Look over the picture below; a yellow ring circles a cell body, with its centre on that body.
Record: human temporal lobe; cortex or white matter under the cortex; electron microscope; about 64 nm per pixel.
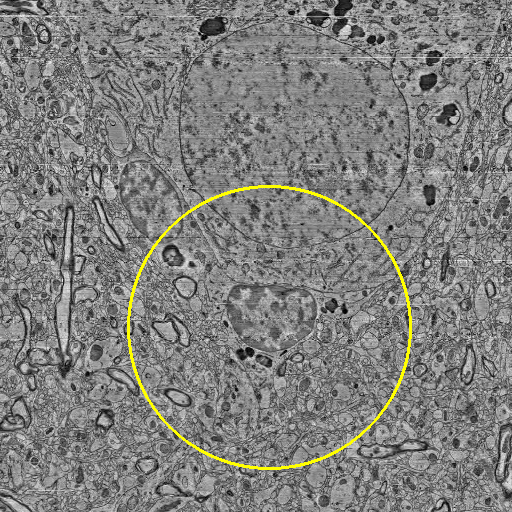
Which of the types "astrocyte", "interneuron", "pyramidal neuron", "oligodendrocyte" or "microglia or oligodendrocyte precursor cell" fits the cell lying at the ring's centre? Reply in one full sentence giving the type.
The picture shows a microglial cell or oligodendrocyte precursor cell at the centre of the yellow ring.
